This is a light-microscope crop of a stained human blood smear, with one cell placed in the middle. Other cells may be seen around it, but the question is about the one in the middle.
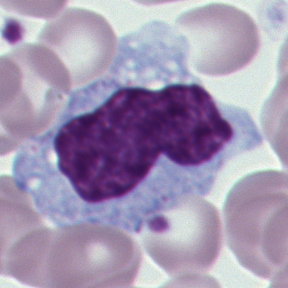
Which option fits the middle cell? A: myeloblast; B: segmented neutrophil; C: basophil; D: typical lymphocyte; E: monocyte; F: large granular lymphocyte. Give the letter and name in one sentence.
The correct choice is option E, which identifies the middle cell as a monocyte.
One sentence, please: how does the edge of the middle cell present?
The boundary of the cell runs irregularly, ragged in parts or drawn into projections.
